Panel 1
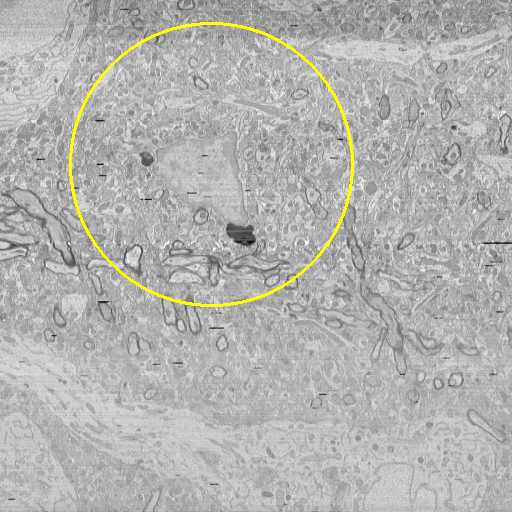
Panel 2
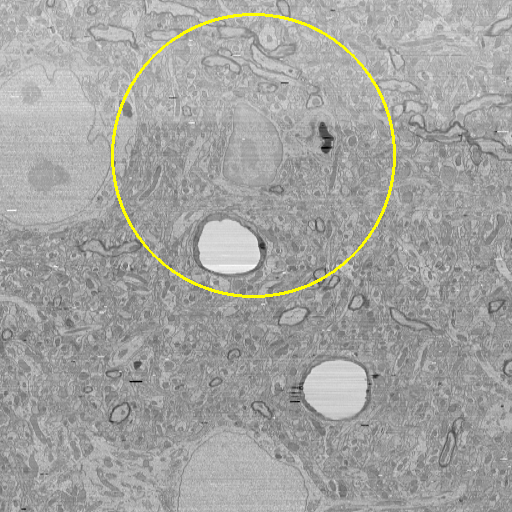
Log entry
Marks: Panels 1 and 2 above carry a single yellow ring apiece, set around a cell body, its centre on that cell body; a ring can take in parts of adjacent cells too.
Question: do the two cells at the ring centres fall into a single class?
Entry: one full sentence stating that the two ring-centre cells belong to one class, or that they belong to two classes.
The two ring-centre cells in Panels 1 and 2 belong to one class.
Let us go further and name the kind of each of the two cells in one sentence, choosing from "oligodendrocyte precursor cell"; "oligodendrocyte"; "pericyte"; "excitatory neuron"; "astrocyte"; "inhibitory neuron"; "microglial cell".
Both cells are the same kind, each one being a microglial cell.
